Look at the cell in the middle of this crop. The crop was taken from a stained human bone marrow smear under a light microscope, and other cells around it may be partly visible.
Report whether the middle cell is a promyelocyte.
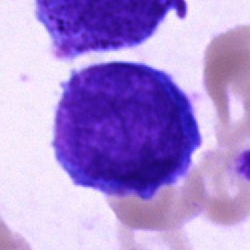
no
